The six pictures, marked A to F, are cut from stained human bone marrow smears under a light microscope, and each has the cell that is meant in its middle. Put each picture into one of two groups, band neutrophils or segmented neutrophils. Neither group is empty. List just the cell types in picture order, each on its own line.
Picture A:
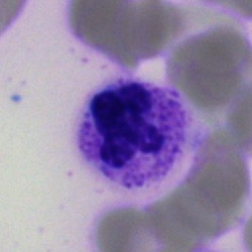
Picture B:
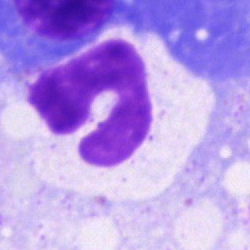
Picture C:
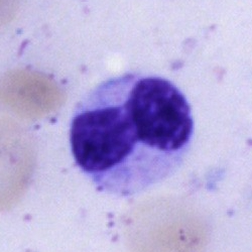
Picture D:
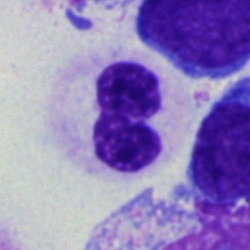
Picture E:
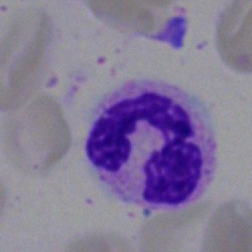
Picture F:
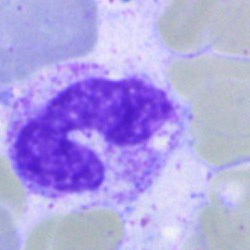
segmented neutrophil
band neutrophil
band neutrophil
segmented neutrophil
segmented neutrophil
band neutrophil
